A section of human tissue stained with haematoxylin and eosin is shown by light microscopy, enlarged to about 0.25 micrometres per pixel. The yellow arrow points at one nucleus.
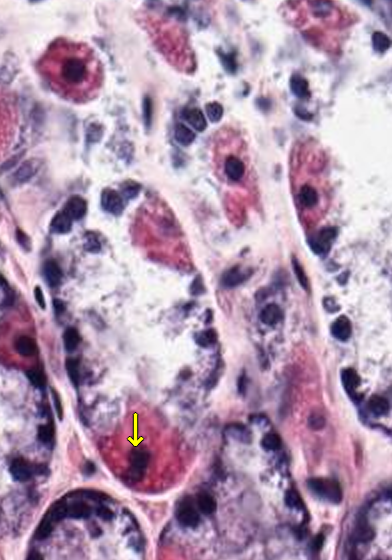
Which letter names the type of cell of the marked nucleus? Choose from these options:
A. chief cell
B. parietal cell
B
